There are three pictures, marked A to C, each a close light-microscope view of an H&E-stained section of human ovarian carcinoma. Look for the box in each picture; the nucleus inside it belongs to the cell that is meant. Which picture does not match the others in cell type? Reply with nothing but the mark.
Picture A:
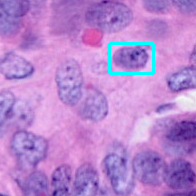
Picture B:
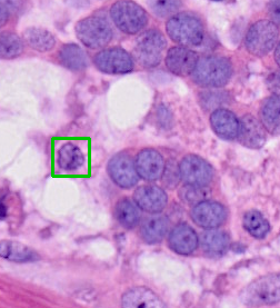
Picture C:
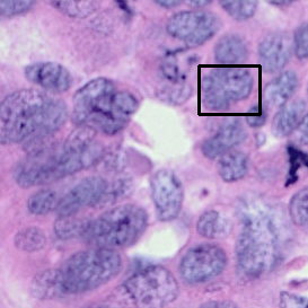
C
